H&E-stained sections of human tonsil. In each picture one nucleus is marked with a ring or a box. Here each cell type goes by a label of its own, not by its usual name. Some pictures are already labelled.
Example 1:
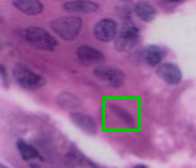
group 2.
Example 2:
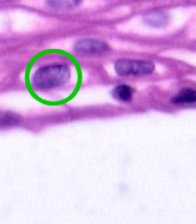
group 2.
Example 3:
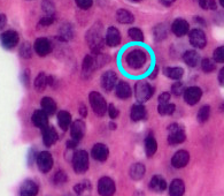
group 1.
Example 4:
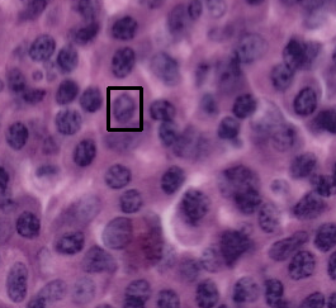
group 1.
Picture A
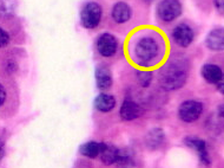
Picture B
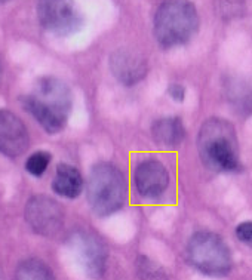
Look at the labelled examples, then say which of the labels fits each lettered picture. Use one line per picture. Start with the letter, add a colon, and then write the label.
A: group 1.
B: group 2.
